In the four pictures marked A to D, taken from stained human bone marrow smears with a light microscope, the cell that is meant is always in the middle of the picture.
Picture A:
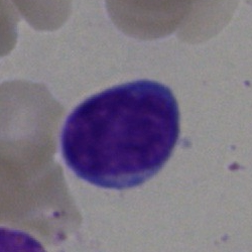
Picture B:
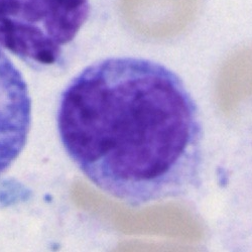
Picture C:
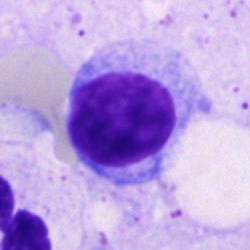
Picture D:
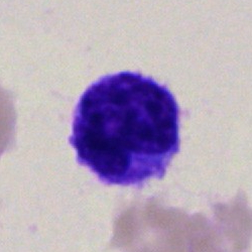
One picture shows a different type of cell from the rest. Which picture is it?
B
